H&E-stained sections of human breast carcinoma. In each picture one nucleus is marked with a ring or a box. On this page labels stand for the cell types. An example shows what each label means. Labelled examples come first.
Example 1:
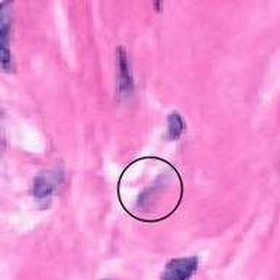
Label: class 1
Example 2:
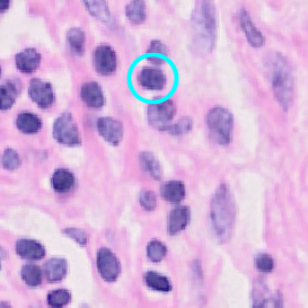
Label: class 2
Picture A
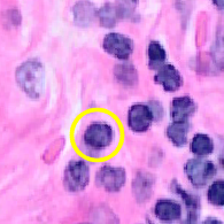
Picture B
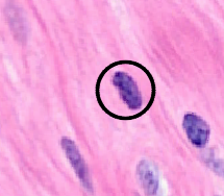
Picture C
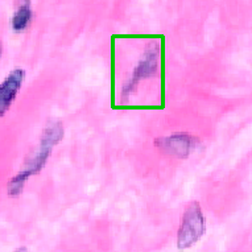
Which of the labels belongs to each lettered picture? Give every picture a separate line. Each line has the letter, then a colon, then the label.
A: class 2
B: class 2
C: class 1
